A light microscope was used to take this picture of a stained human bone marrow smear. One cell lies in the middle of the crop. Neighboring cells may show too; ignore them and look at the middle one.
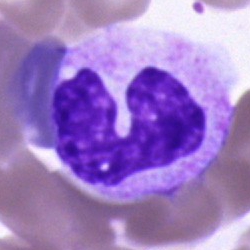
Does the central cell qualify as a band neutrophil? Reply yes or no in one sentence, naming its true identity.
Yes, this central cell is a band neutrophil.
